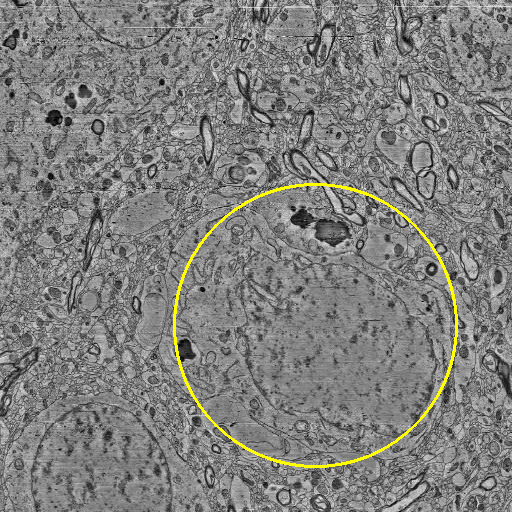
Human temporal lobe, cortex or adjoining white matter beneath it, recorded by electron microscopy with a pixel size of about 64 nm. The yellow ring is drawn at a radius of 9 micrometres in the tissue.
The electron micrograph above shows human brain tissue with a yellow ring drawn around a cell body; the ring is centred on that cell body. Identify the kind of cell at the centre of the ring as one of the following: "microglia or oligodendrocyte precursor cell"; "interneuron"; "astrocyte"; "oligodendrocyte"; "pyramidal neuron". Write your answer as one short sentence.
The cell at the centre of the ring is an interneuron.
